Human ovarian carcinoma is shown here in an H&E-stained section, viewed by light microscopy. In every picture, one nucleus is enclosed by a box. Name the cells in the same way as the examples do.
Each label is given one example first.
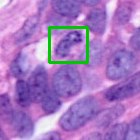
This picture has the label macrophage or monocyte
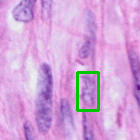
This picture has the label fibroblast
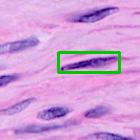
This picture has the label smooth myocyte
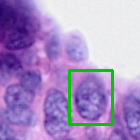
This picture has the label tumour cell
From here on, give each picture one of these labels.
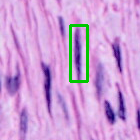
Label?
fibroblast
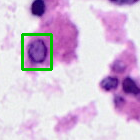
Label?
macrophage or monocyte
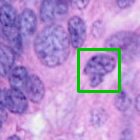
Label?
macrophage or monocyte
